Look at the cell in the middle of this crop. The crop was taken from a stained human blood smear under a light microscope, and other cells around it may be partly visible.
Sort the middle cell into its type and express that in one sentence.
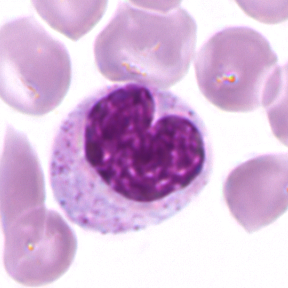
Here the centrally located cell is a band neutrophil.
